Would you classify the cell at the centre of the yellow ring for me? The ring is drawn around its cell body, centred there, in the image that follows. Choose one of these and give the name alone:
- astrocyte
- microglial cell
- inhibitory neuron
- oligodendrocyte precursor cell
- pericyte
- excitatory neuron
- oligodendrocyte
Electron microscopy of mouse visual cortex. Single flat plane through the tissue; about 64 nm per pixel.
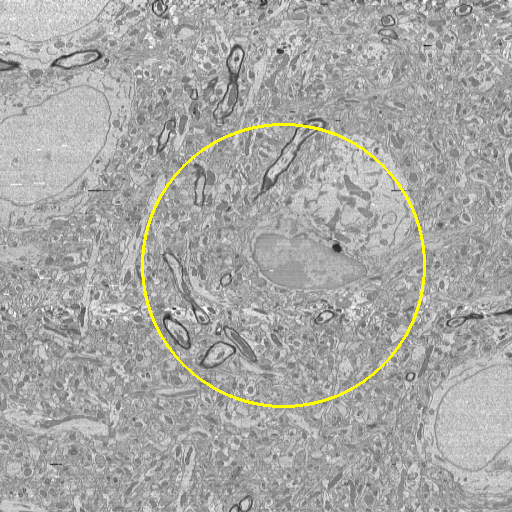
microglial cell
